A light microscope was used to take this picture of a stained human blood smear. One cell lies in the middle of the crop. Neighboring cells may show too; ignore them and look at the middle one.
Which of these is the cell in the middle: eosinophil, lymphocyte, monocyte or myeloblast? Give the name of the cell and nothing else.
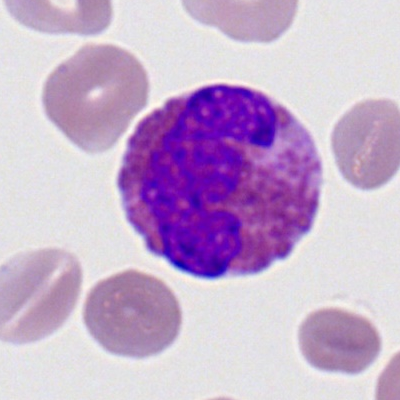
eosinophil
